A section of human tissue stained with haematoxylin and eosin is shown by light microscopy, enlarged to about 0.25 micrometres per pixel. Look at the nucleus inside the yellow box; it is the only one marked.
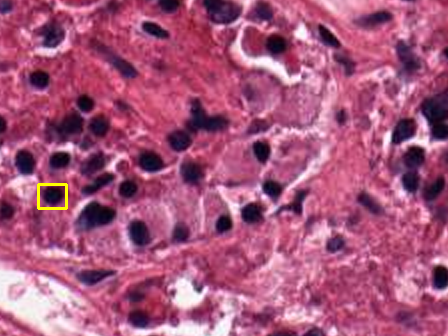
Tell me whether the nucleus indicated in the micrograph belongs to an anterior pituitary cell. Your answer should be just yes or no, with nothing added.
yes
